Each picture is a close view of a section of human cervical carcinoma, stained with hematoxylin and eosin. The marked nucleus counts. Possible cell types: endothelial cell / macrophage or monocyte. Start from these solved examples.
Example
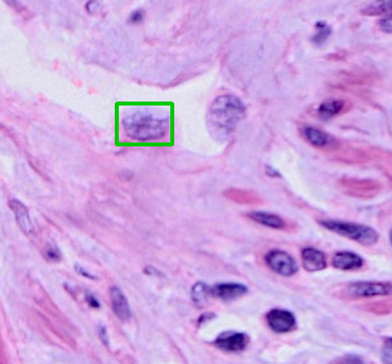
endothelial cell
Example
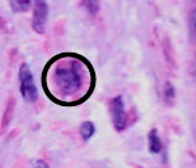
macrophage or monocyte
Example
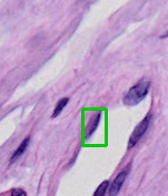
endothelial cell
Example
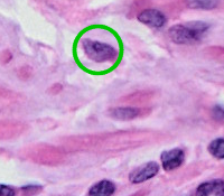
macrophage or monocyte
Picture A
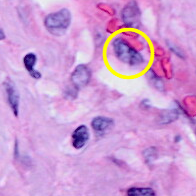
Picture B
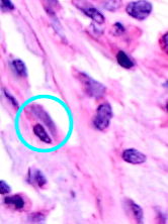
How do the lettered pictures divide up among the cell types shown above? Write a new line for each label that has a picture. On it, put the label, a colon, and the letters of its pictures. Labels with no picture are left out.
endothelial cell: A
macrophage or monocyte: B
